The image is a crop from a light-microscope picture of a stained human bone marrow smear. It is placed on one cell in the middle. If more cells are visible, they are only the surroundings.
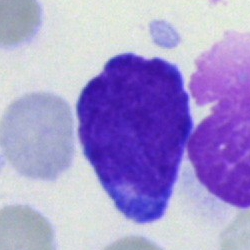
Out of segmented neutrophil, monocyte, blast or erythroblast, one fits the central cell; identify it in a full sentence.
Centred in the crop is a blast.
